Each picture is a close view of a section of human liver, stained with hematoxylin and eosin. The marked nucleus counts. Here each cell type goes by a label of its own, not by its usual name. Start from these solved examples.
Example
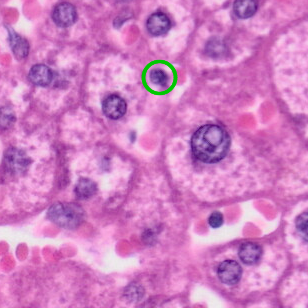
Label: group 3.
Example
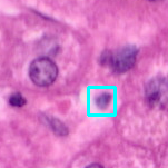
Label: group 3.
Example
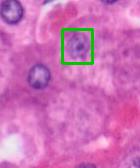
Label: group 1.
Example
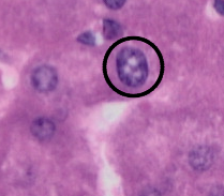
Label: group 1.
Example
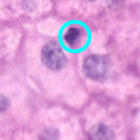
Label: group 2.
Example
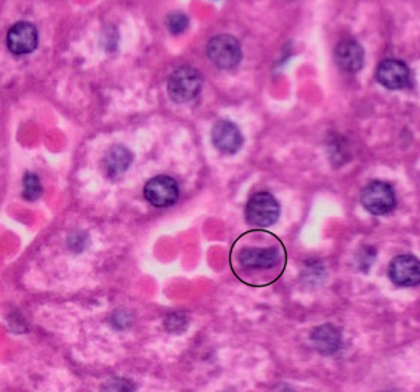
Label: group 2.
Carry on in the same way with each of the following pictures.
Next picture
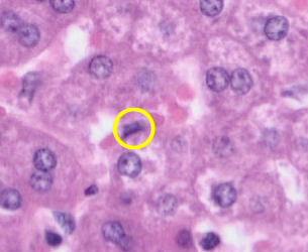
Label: group 2.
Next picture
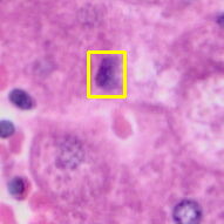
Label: group 2.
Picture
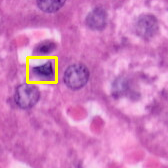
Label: group 2.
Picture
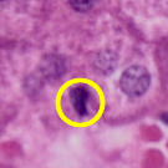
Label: group 2.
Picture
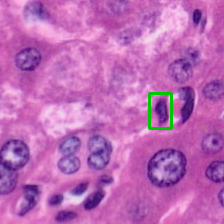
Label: group 2.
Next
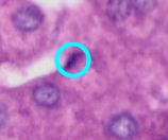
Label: group 2.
